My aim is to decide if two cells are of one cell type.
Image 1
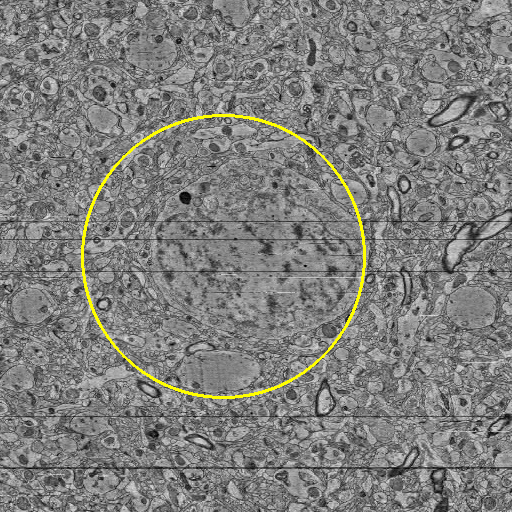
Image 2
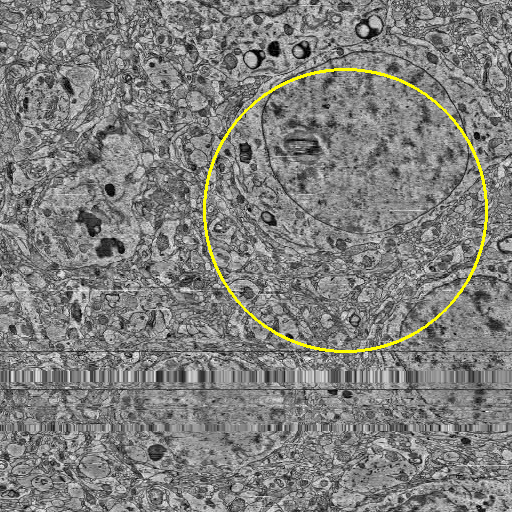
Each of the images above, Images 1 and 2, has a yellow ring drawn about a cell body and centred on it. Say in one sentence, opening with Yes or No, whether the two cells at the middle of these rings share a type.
No, in Images 1 and 2 the cells at the middle of the rings fall into two types.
